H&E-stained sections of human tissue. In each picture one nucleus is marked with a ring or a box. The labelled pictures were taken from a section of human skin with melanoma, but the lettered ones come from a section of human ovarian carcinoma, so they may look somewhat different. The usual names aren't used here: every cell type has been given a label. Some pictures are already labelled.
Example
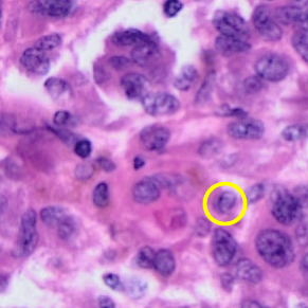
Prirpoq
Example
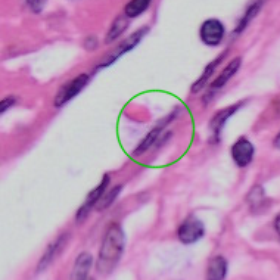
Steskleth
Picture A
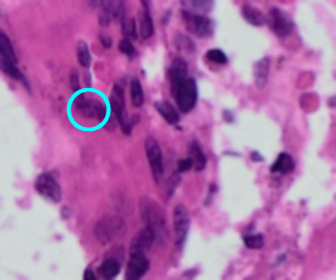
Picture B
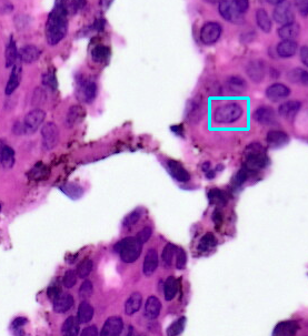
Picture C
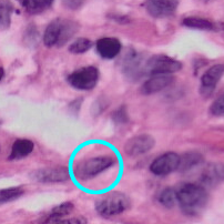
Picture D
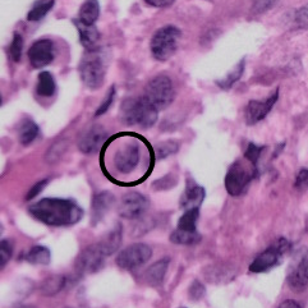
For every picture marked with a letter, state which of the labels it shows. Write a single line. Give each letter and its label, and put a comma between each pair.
A Steskleth, B Prirpoq, C Steskleth, D Prirpoq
